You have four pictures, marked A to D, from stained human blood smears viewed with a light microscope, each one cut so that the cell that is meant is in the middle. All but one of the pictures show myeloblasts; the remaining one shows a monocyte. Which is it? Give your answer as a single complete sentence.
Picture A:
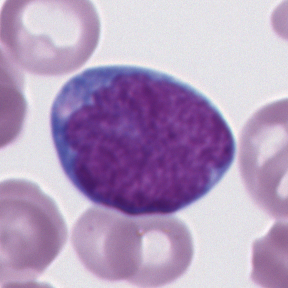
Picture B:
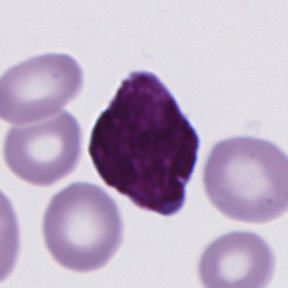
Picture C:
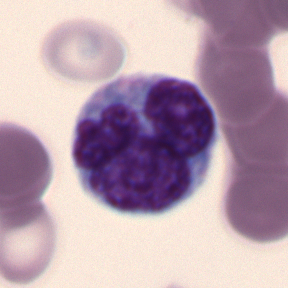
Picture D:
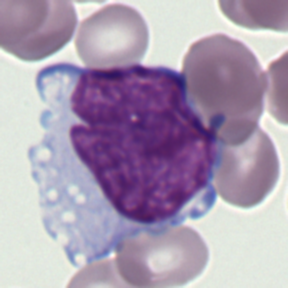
It is picture C that shows the monocyte.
